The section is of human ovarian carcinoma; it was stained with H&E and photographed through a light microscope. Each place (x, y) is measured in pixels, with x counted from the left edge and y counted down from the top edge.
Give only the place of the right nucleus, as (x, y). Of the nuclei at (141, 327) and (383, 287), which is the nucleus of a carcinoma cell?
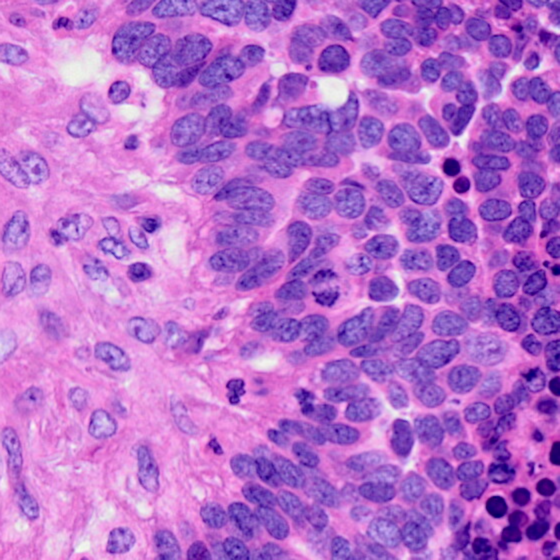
(383, 287)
